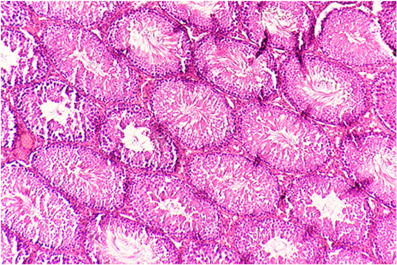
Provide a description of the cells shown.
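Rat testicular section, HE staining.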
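This section of testis shows seminiferous tubules cut in cross and oblique section, packed closely together. Each tubule is lined by a thick, multilayered epithelium of germ cells with purple nuclei stacked from the outer edge toward the centre. The centres of many tubules are filled with pale pink, wispy material radiating inward rather than standing empty. The tubules lie nearly against one another, with only narrow strips of tissue between them.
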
